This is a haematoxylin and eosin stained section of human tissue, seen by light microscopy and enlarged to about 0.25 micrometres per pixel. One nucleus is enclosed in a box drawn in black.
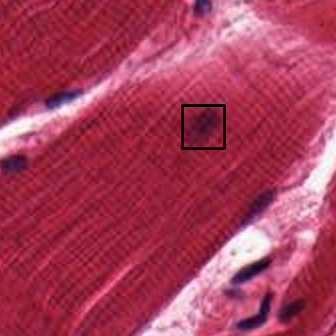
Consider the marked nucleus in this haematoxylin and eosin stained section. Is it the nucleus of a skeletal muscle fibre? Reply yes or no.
yes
